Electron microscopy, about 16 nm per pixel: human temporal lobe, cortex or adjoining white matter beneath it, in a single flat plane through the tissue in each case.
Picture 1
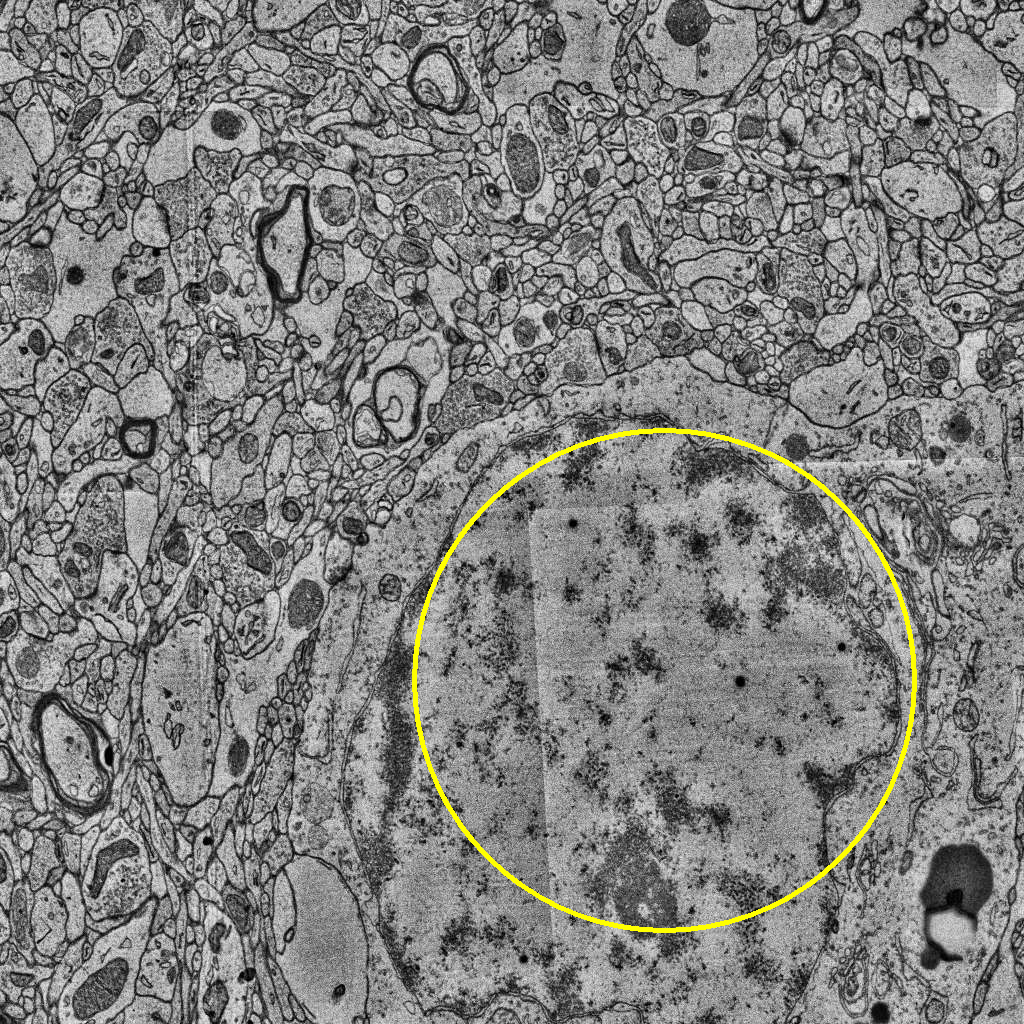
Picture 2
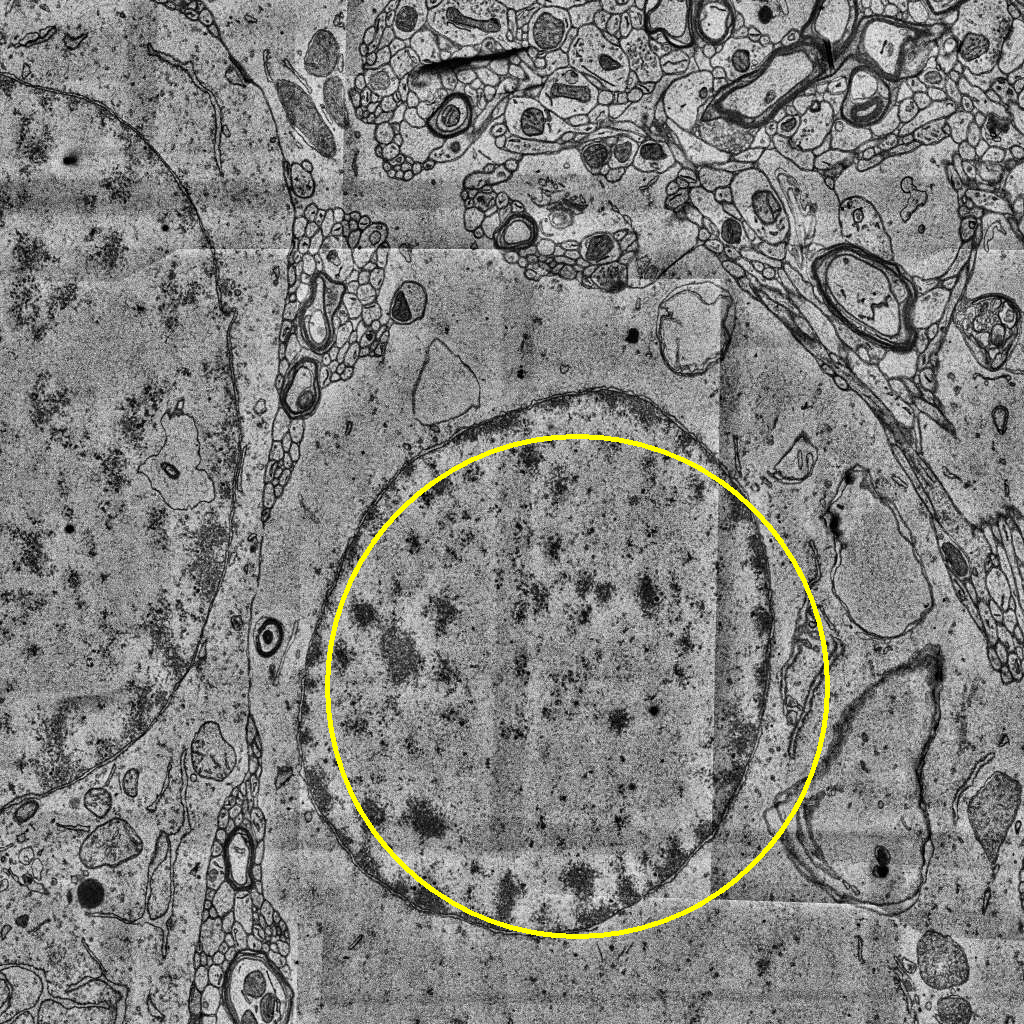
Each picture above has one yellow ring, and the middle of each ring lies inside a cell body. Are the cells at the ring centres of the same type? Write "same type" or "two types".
two types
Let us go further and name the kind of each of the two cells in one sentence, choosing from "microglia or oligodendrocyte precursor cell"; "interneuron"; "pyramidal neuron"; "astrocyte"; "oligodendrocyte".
In the first picture we have an interneuron, and in the second, an astrocyte.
